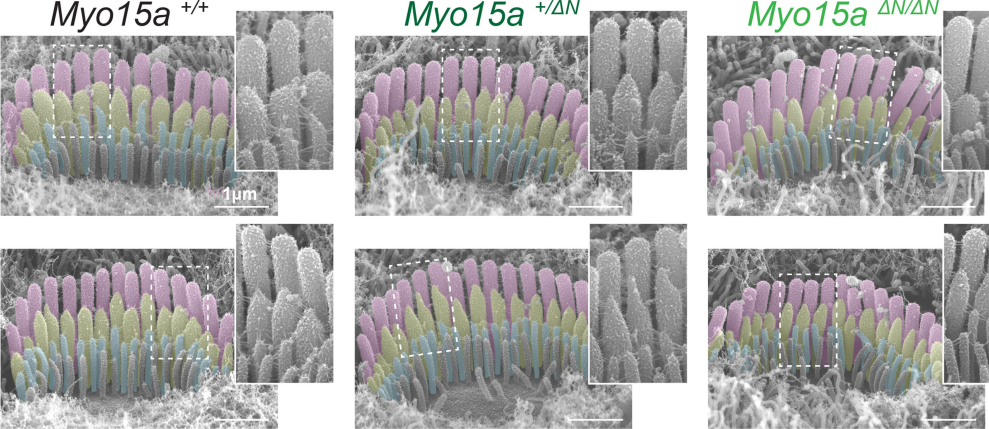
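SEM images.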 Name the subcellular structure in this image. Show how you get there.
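Rows of finger-like projections stand side by side on each cell's surface. The projections are graded in height like a staircase. The bases of all the projections are clustered together on one cell surface. On this evidence: stereocilia bundles.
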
